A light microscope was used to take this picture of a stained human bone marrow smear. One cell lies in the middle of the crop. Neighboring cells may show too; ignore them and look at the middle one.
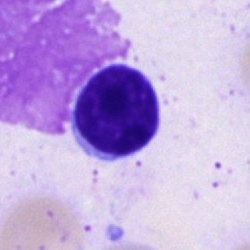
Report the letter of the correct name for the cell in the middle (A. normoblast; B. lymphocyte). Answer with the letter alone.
B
